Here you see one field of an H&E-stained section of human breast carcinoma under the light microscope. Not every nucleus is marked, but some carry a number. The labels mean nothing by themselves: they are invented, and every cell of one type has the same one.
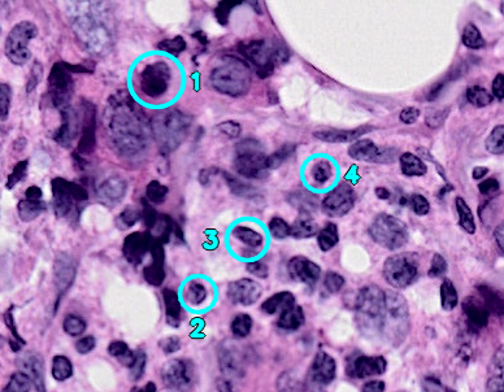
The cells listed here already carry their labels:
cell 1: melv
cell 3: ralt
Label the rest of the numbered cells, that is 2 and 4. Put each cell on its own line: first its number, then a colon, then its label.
2: ralt
4: ralt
